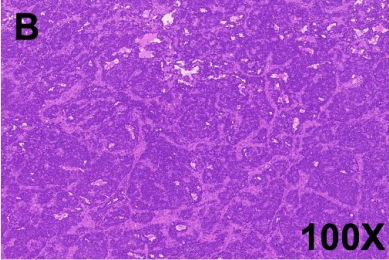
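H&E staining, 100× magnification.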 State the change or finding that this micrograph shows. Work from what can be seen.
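Malignant tumor. Sheets of densely packed, deeply blue-staining cells.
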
